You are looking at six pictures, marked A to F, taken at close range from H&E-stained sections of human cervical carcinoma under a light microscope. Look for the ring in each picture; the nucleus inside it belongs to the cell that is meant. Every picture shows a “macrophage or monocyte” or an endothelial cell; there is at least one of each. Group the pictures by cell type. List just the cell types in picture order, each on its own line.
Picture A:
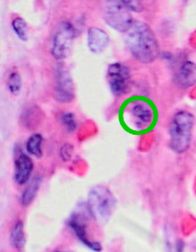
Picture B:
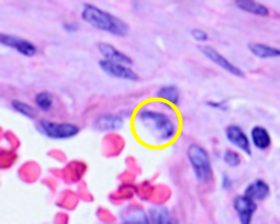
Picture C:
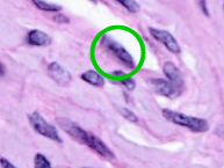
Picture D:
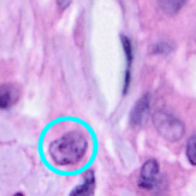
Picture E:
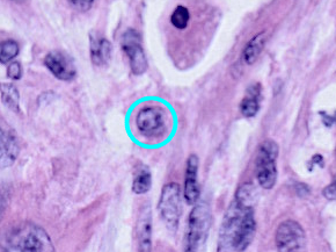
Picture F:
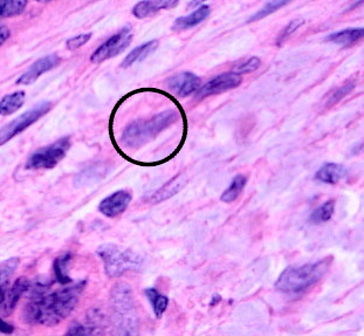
endothelial cell
endothelial cell
endothelial cell
macrophage or monocyte
macrophage or monocyte
endothelial cell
